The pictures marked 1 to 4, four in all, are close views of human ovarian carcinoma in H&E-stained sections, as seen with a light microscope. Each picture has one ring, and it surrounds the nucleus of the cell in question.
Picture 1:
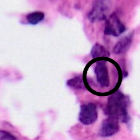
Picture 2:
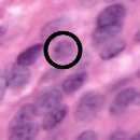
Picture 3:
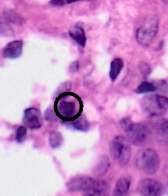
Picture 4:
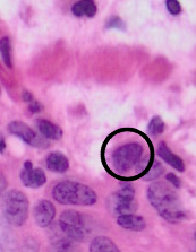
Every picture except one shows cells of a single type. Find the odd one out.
2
